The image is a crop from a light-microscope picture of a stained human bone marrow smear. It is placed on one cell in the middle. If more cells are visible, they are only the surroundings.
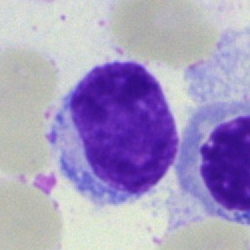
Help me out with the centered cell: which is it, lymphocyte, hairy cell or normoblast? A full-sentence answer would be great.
The cell in the middle of the field of view is a hairy cell.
